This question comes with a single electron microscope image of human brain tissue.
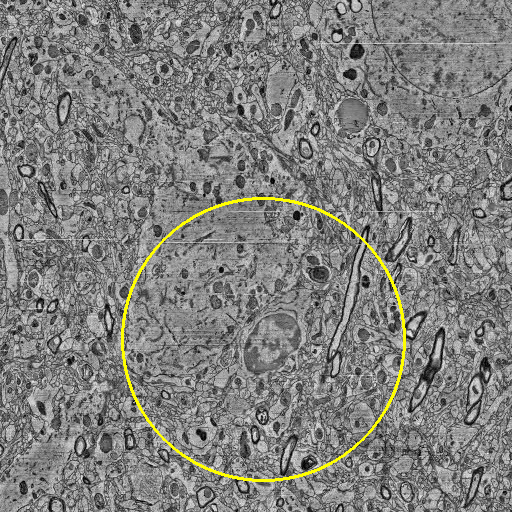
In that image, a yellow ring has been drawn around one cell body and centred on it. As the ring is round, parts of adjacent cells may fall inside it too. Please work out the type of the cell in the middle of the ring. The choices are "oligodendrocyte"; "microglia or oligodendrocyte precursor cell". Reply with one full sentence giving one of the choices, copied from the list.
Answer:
Of the choices, a microglial cell or oligodendrocyte precursor cell is the cell sitting in the middle of the ring.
